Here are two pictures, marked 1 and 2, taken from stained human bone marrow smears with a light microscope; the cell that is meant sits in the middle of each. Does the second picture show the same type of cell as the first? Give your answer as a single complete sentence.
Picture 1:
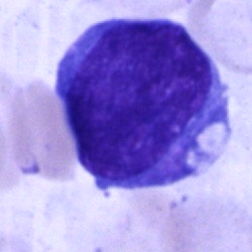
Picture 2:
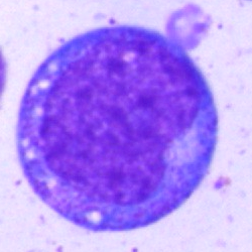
No, they differ: the cell is a blast in picture 1 and a promyelocyte in picture 2.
